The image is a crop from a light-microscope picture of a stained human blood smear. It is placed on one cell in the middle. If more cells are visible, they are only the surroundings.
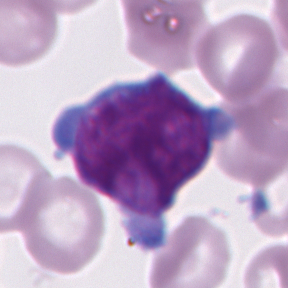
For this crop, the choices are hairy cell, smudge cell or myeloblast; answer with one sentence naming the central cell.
The center cell of this crop is a myeloblast.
